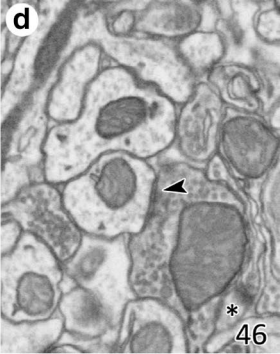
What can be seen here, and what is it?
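This is neuropil in an electron micrograph, showing synaptic junctions among densely packed neuronal processes. Cross-sectioned profiles of dendrites and axons of varying size are bounded by dark membranes, several containing mitochondria. The arrowhead marks a contact with a thin, faint density, a symmetric synapse, beside a terminal filled with small round vesicles and a large mitochondrion with parallel cristae. Near the lower right an asterisk marks a contact with a thicker dark density, an asymmetric synapse. A dark band runs along the upper left edge.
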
